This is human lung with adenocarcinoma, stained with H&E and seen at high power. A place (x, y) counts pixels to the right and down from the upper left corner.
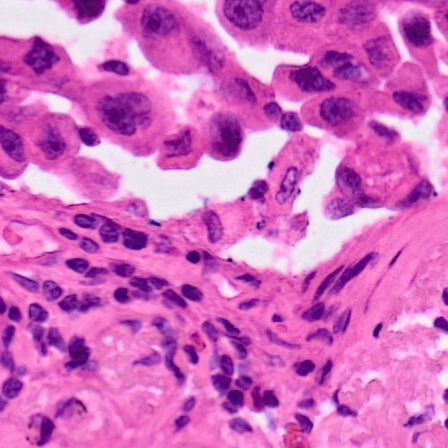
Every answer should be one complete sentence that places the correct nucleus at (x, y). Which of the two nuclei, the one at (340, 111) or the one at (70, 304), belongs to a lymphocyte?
The nucleus that belongs to a lymphocyte sits at (70, 304).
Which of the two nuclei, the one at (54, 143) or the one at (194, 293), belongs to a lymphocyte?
Of the two, the nucleus at (194, 293) is the one contained in a lymphocyte.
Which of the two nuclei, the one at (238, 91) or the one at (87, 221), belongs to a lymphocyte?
The nucleus situated at (87, 221) is the one belonging to a lymphocyte.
